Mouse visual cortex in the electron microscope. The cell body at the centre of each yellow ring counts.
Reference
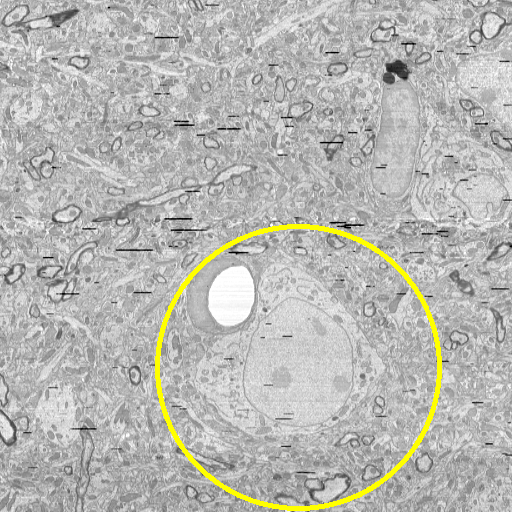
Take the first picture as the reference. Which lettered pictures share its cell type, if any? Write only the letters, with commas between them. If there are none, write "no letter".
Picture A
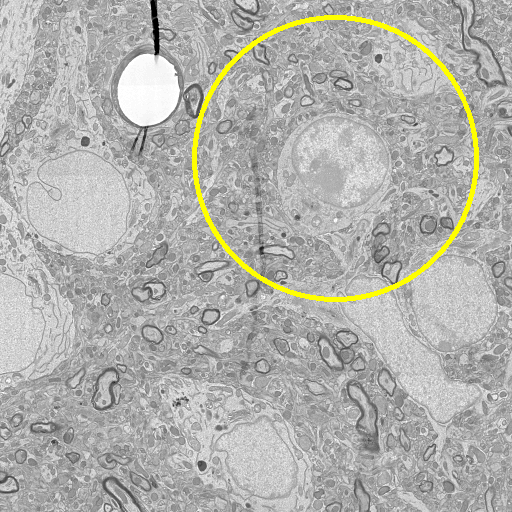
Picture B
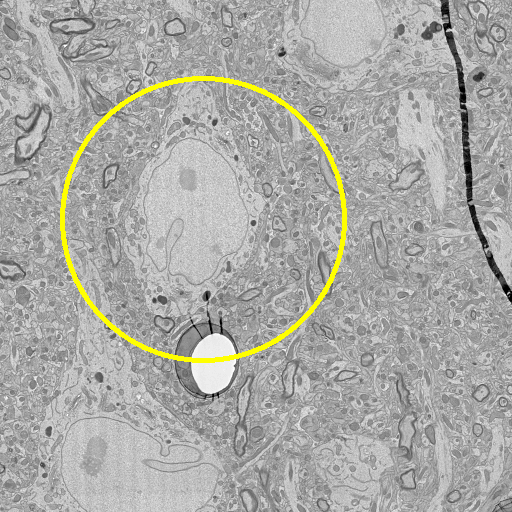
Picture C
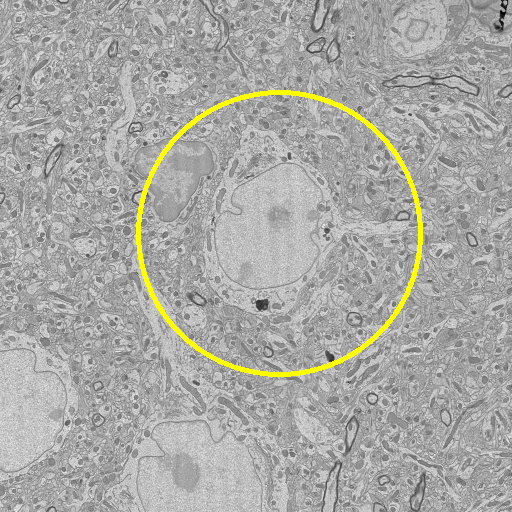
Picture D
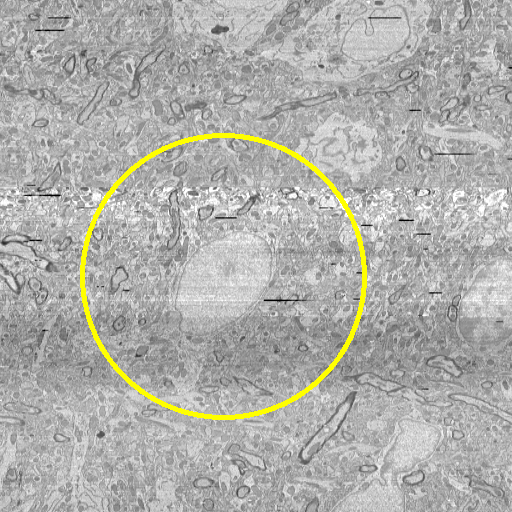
B, C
